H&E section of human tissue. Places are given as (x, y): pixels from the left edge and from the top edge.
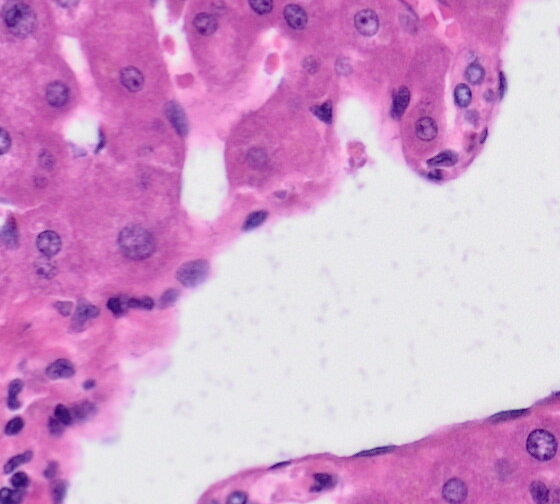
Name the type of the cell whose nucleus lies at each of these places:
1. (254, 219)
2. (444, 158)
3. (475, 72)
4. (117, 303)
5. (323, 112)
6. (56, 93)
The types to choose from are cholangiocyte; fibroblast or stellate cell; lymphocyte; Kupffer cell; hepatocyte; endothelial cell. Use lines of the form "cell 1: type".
cell 1: fibroblast or stellate cell
cell 2: fibroblast or stellate cell
cell 3: cholangiocyte
cell 4: fibroblast or stellate cell
cell 5: fibroblast or stellate cell
cell 6: hepatocyte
